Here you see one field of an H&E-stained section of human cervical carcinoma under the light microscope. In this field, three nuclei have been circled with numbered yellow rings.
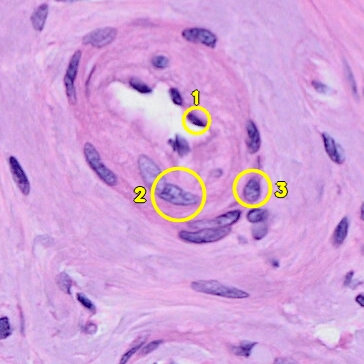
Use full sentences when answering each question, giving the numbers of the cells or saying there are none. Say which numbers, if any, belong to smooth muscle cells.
The cells which carry the numbers 2 and 3 are smooth muscle cells.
